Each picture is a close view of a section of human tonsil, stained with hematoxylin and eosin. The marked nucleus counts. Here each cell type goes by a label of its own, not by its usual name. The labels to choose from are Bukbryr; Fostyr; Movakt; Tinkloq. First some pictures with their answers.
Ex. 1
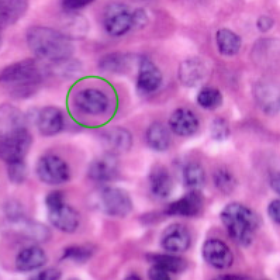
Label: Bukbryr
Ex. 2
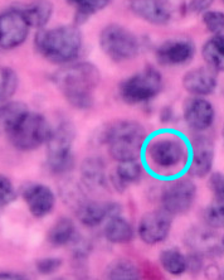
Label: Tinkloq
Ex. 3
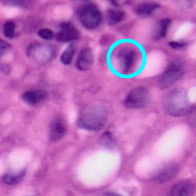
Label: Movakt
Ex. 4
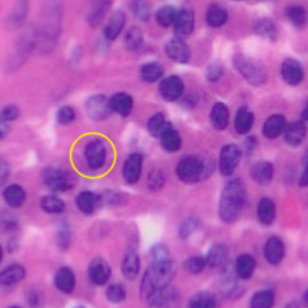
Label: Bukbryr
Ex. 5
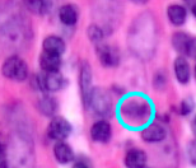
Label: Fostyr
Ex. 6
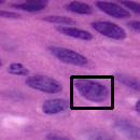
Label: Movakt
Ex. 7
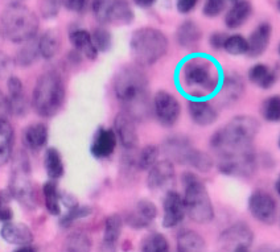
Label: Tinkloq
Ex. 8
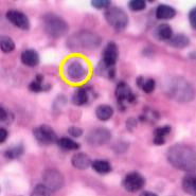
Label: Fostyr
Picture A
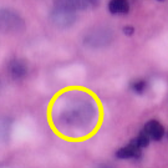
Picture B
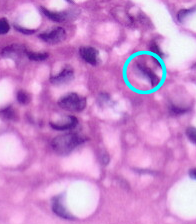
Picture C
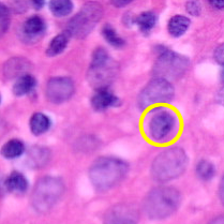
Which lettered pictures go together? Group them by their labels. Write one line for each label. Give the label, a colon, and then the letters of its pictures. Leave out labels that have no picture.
Movakt: A, B, C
